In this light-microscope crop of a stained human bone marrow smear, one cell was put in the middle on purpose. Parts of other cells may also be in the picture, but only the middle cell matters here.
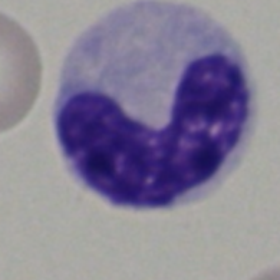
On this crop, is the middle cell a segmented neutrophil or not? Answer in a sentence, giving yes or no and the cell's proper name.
No, the cell in the middle is a band neutrophil, not a segmented neutrophil.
